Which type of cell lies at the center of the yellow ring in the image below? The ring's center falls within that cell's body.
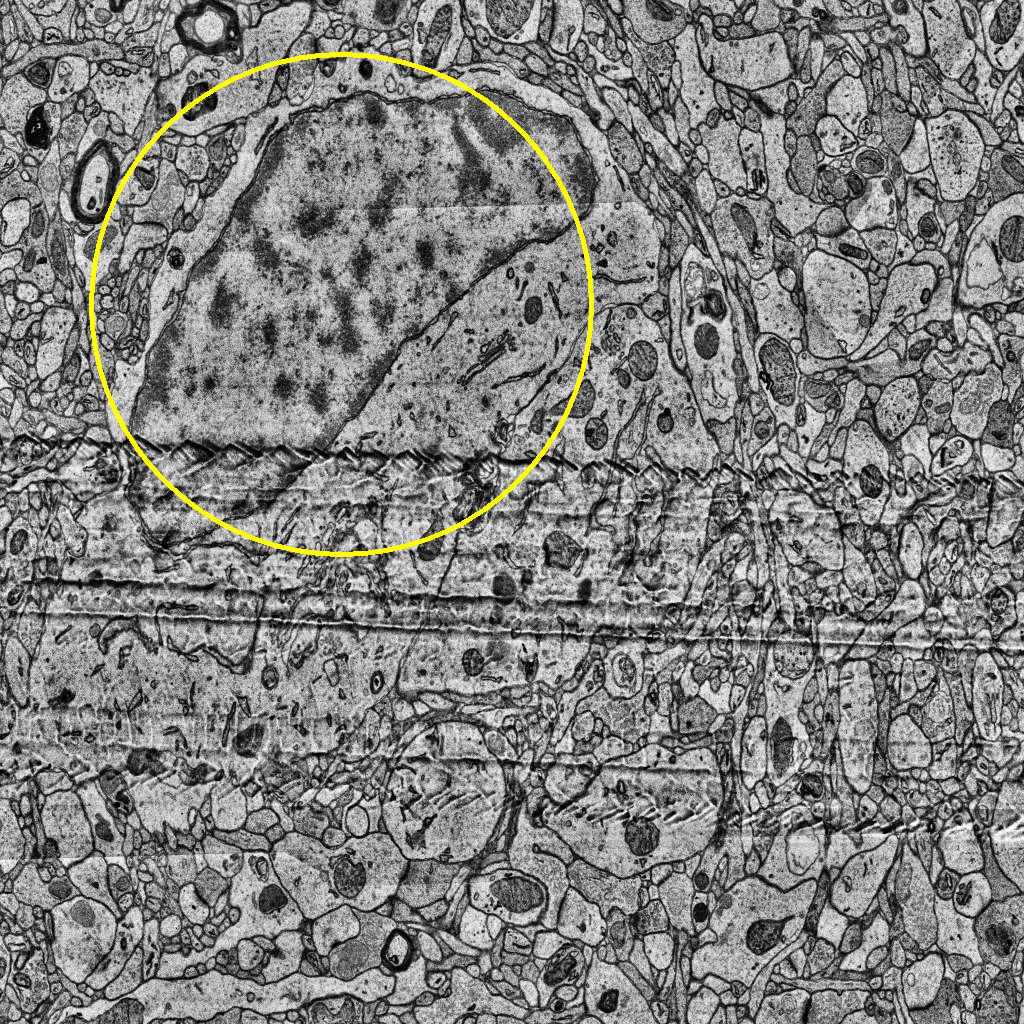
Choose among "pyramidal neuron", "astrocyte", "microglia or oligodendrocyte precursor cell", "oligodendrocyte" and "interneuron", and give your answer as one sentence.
The cell body at the center belongs to a microglial cell or oligodendrocyte precursor cell.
